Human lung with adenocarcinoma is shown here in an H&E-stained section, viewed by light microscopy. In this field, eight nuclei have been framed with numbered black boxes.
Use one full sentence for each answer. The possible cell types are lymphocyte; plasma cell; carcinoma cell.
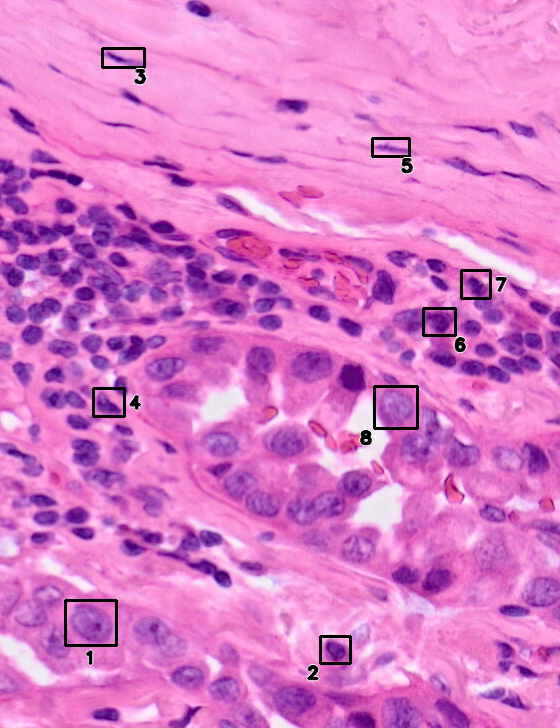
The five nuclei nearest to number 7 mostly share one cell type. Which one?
Lymphocytes account for more than half of the five nuclei nearest to number 7.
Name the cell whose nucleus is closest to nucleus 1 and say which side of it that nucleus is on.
A carcinoma cell lies closest, below and to the left of nucleus 1.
